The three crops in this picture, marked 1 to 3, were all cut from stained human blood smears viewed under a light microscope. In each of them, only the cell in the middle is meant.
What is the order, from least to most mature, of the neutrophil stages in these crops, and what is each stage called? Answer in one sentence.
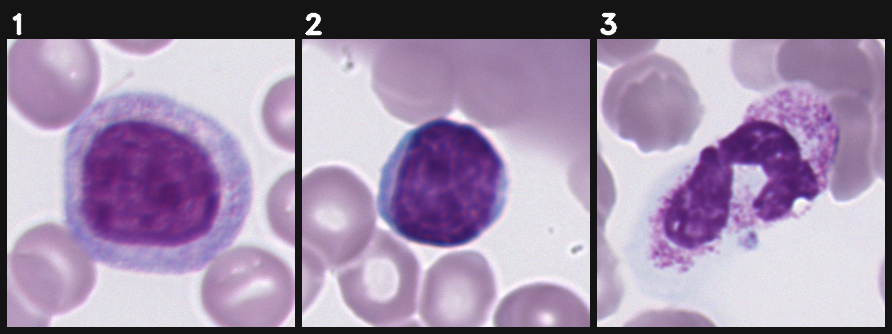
From the earliest stage onward, the order is crop 2 (a myeloblast), crop 1 (a myelocyte) and crop 3 (a segmented neutrophil).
